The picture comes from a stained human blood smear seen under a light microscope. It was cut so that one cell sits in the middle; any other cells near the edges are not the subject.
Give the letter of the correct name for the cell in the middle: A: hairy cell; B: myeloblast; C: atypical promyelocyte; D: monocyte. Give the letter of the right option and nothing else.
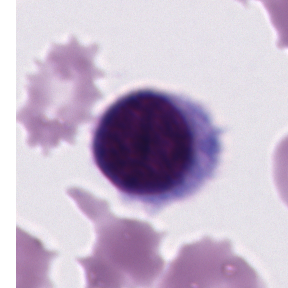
A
